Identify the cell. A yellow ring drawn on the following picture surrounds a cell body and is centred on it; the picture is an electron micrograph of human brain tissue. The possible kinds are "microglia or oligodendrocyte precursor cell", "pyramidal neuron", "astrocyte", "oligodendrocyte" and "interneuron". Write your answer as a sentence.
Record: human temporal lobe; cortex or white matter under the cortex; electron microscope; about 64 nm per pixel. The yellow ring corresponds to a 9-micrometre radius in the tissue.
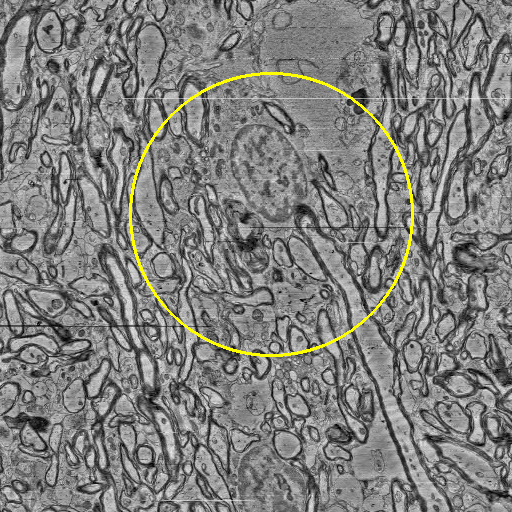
The cell identified by the ring is an oligodendrocyte.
